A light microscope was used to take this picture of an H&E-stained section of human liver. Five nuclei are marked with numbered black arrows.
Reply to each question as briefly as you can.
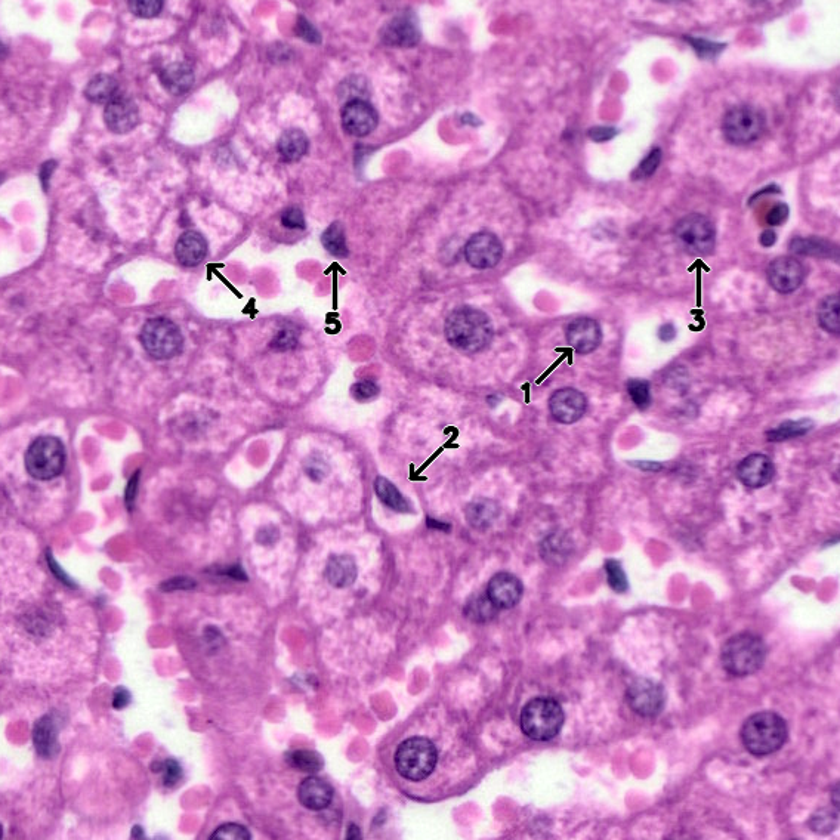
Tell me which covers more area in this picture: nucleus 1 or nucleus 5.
1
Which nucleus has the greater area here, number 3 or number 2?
3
